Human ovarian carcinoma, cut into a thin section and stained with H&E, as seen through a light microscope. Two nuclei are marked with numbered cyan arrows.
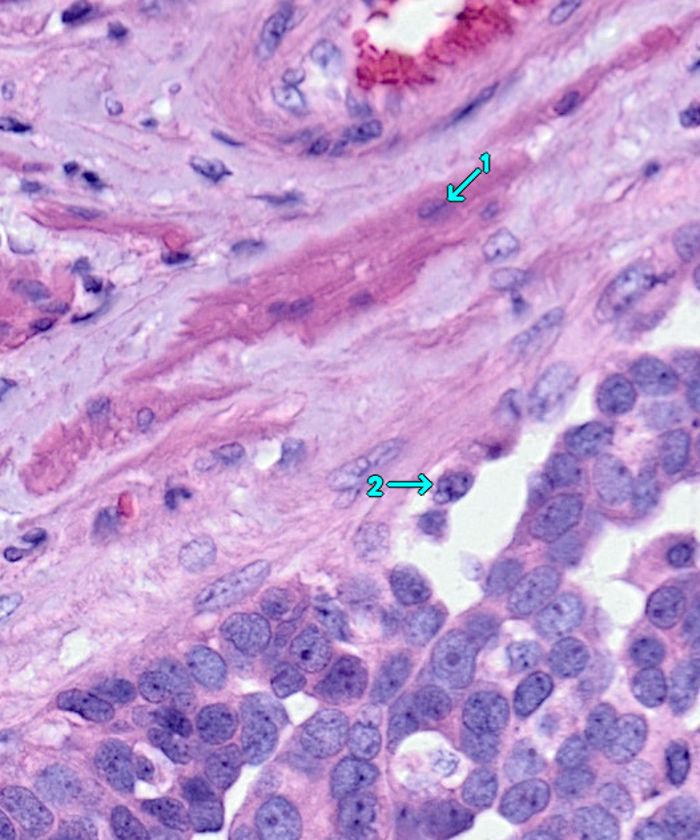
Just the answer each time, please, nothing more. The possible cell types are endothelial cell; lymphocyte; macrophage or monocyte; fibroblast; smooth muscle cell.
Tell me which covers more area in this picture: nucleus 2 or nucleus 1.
2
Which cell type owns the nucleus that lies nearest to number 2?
macrophage or monocyte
